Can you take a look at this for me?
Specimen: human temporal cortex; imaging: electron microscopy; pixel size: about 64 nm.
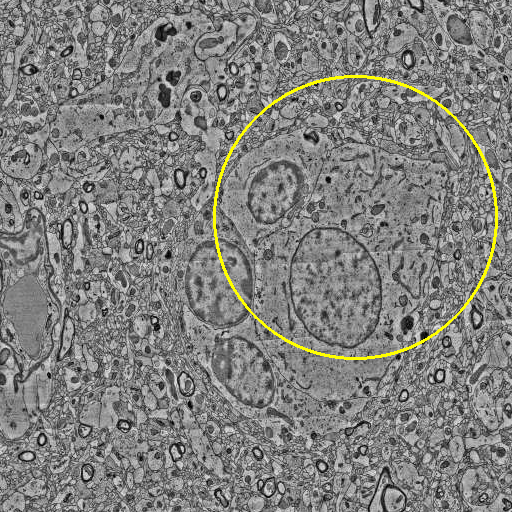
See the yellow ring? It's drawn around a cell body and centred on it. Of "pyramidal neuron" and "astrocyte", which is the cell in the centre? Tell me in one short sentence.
The one in the centre is a pyramidal neuron.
